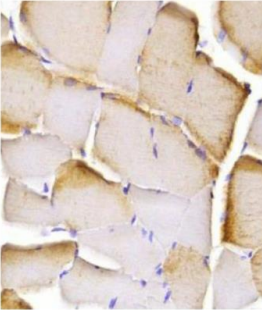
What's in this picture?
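A cross-section of skeletal muscle shows large polygonal myofibers fitted closely together, with small flattened blue nuclei lying at their edges and thin pale gaps between them. Some fibers stain brown while others stay pale, and in the stained ones the brown is densest near the periphery of the myofibers rather than in their centres.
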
